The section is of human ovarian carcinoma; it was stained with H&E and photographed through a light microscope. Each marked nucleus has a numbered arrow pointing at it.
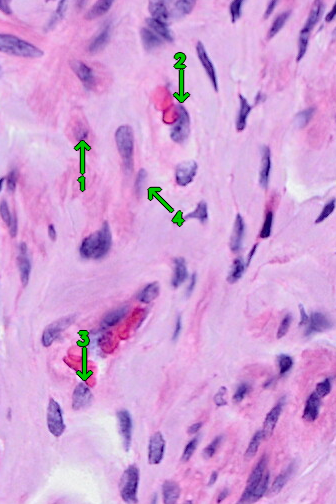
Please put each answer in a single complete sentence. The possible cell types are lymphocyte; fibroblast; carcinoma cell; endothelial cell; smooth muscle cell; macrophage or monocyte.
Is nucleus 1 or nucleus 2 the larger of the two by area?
Nucleus 2 covers more area, about 4 times as much as nucleus 1.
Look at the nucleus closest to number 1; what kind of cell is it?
The nearest nucleus to number 1 belongs to a smooth muscle cell.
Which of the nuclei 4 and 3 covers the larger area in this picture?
Number 3 is larger; its area is about 1.5 times that of number 4.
